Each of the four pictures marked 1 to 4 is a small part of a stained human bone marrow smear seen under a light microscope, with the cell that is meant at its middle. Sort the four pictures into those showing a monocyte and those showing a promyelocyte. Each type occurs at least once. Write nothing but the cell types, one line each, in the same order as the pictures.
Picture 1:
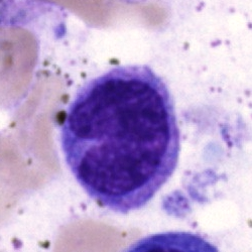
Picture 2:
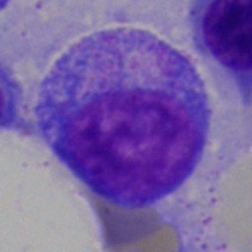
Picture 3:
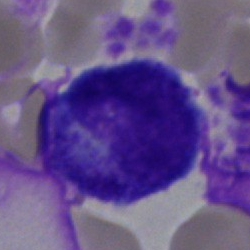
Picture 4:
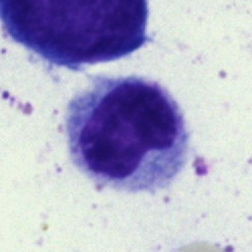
monocyte
promyelocyte
promyelocyte
monocyte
